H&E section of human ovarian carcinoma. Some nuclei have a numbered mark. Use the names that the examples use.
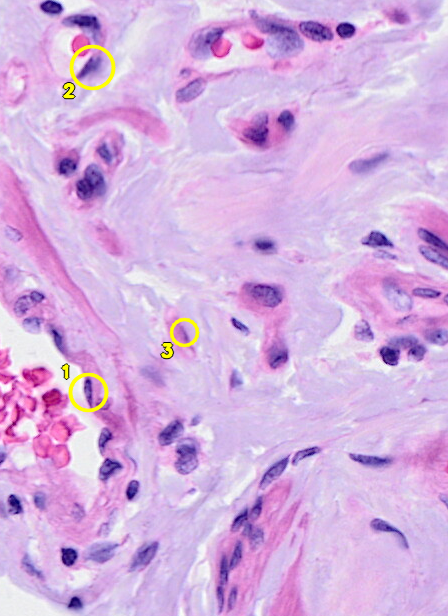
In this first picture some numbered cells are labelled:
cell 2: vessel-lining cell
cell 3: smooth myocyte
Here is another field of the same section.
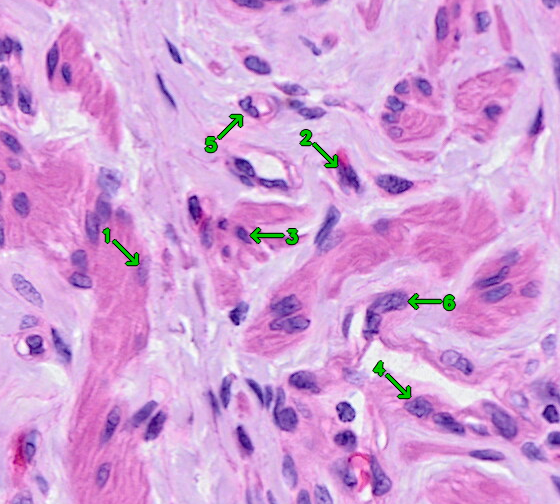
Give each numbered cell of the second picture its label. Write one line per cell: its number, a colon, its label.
1: smooth myocyte
2: vessel-lining cell
3: smooth myocyte
4: vessel-lining cell
5: vessel-lining cell
6: vessel-lining cell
